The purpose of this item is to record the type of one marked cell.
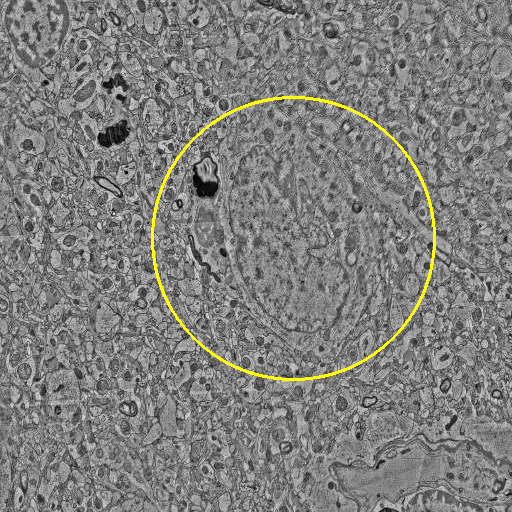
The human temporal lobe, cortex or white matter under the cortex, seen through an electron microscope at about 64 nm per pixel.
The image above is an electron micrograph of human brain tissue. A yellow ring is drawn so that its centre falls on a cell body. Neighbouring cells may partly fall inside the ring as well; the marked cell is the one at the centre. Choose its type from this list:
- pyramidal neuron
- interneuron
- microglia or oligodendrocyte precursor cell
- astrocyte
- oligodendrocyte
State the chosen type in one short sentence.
What the ring marks here is an interneuron.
